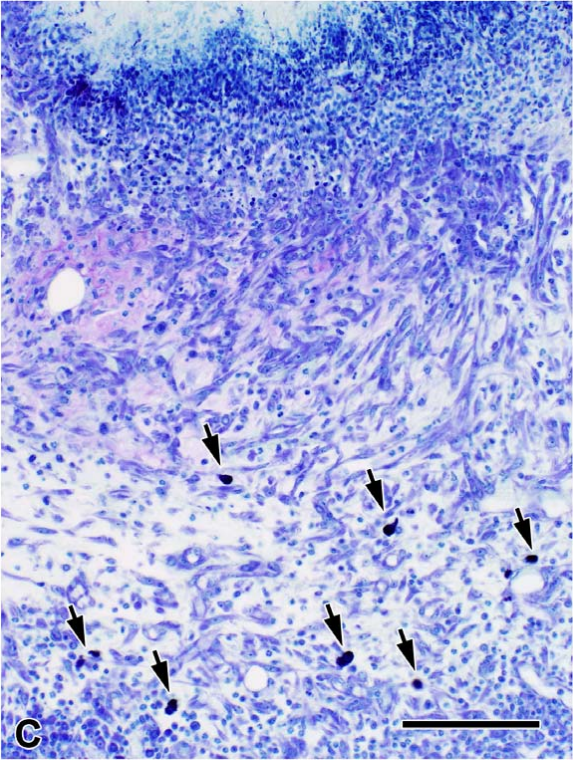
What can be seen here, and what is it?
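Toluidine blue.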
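This is the base of an ulcer, with mast cells scattered through the tissue beneath an inflamed surface. Along the top lies a dense band of closely packed small cells with dark nuclei. Below this, elongated spindle-shaped cells run through a looser stroma, with faint pink patches here and there. In the lower, looser part, single cells stand out because they stain an intense purple-black against the pale blue background. Some of these look compact, and others look more irregular or fragmented at their edges.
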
